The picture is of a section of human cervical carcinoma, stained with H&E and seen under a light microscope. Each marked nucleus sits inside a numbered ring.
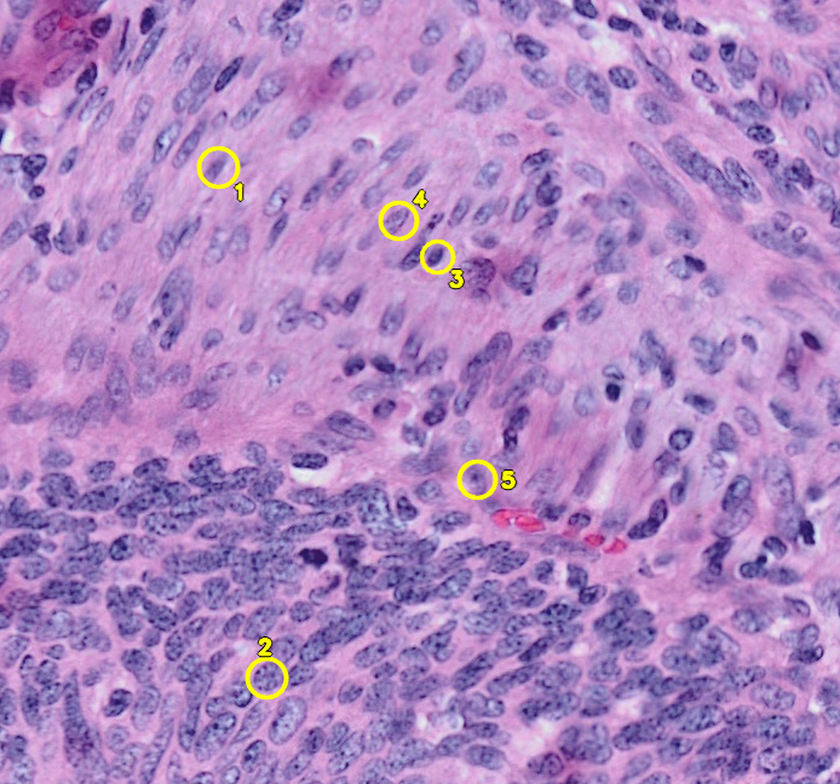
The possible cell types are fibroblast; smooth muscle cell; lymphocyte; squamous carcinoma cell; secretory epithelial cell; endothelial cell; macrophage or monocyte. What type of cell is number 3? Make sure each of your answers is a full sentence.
Denoted by the label 3 in the section is a lymphocyte.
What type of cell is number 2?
The nucleus marked 2 is the nucleus of a squamous carcinoma cell.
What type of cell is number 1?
The cell that bears the number 1 is a smooth muscle cell.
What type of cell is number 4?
What the number 4 marks in this field is a smooth muscle cell.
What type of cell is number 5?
Number 5 among the marked cells is an endothelial cell.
